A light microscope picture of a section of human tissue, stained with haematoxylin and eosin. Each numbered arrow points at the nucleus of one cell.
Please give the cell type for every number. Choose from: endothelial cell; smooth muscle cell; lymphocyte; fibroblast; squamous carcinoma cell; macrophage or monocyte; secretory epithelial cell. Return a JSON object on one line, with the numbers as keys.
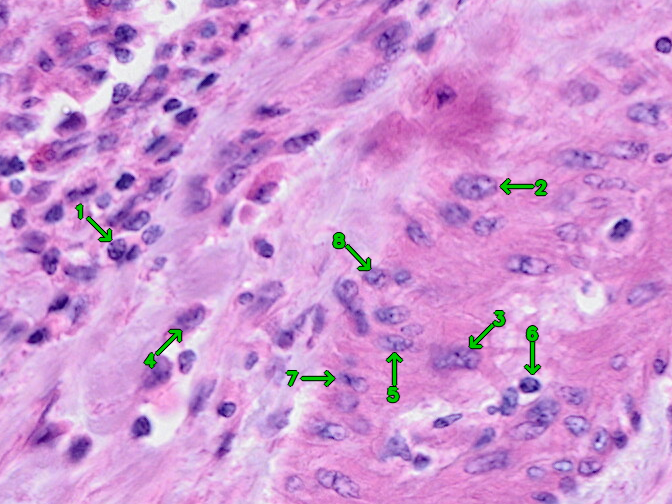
{"1": "lymphocyte", "2": "smooth muscle cell", "3": "smooth muscle cell", "4": "macrophage or monocyte", "5": "smooth muscle cell", "6": "lymphocyte", "7": "smooth muscle cell", "8": "smooth muscle cell"}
